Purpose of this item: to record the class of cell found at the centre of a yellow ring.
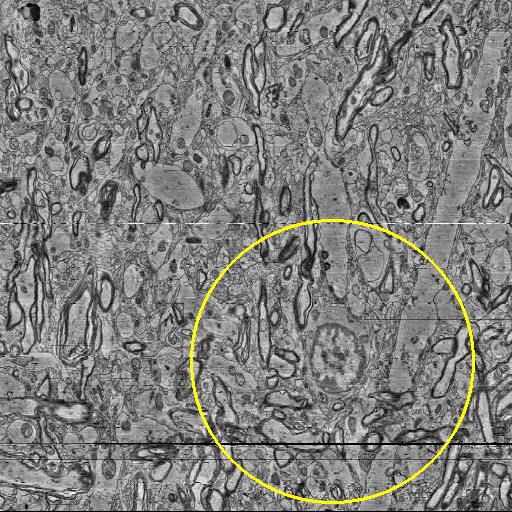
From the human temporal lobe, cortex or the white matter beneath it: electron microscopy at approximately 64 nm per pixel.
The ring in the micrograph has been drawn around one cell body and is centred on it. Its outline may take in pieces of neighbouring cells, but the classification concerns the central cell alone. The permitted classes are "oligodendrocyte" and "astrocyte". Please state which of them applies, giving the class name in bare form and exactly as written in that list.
oligodendrocyte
